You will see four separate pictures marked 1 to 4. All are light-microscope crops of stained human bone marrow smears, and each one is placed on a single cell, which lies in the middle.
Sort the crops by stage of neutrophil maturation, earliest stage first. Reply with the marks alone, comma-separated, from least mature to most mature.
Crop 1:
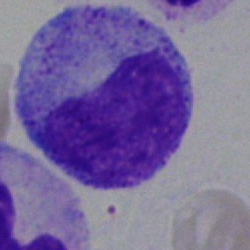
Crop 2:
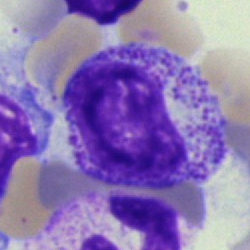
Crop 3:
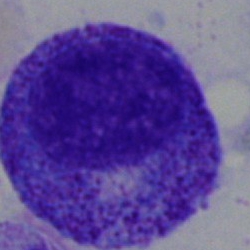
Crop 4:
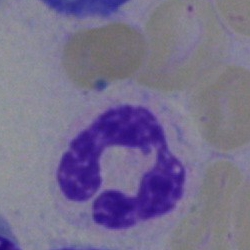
3, 2, 1, 4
